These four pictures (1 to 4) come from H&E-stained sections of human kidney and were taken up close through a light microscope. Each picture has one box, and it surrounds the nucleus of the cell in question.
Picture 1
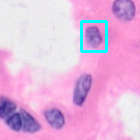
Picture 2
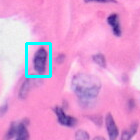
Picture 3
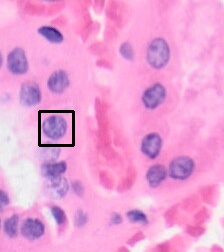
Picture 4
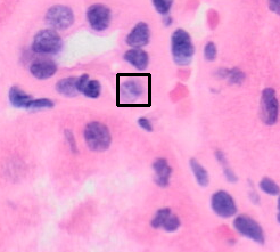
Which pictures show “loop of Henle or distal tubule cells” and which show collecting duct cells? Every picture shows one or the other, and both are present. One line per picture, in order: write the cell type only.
loop of Henle or distal tubule cell
collecting duct cell
collecting duct cell
collecting duct cell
